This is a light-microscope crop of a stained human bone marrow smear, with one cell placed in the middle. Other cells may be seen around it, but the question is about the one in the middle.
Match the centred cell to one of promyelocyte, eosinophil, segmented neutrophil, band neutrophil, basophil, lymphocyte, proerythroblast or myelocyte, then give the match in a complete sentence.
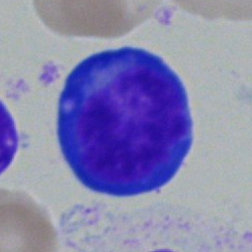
As for the cell in the middle, it is a proerythroblast.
